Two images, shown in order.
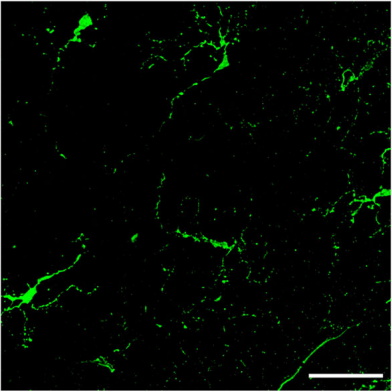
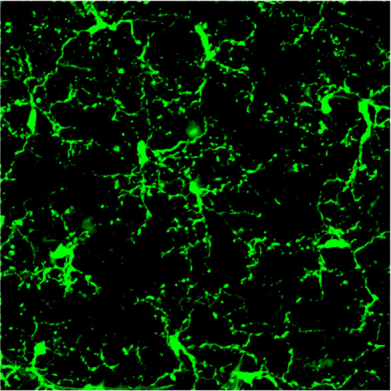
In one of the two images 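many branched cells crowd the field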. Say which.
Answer: the second image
